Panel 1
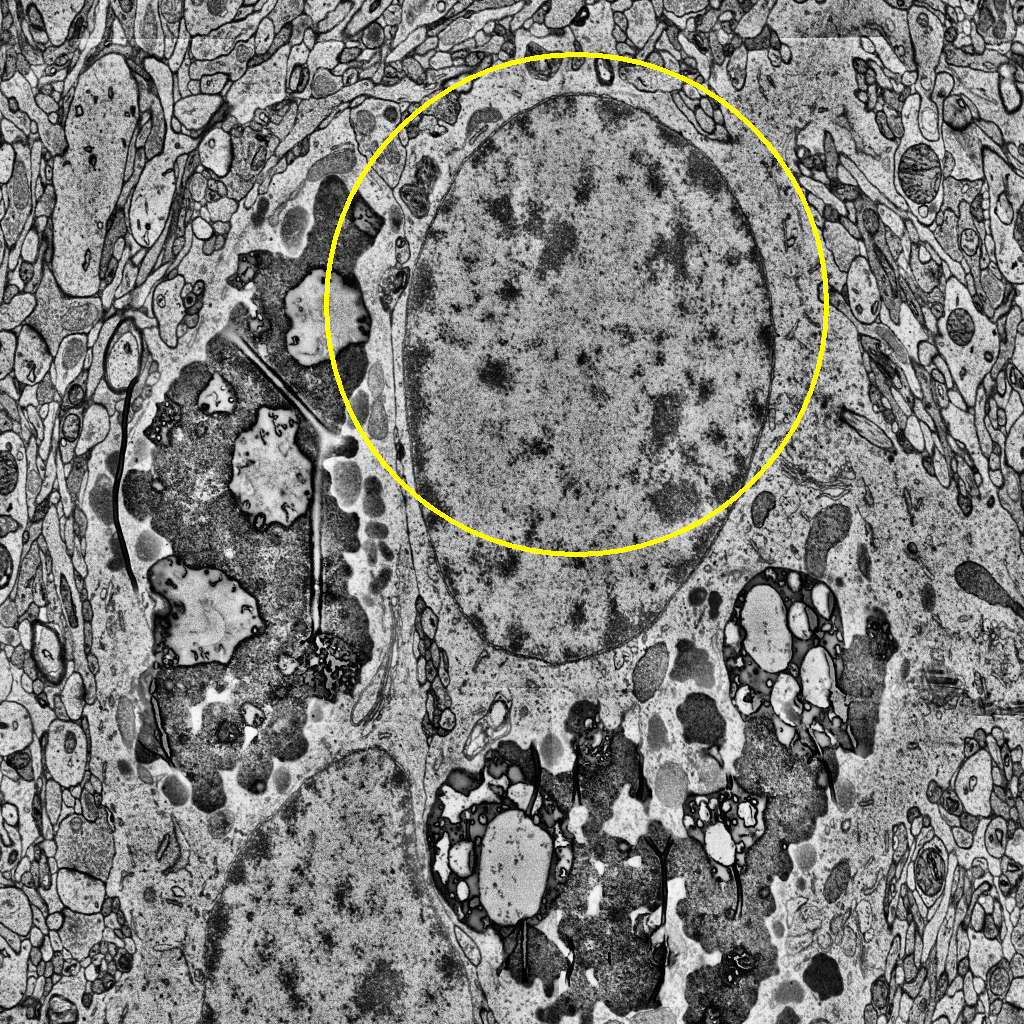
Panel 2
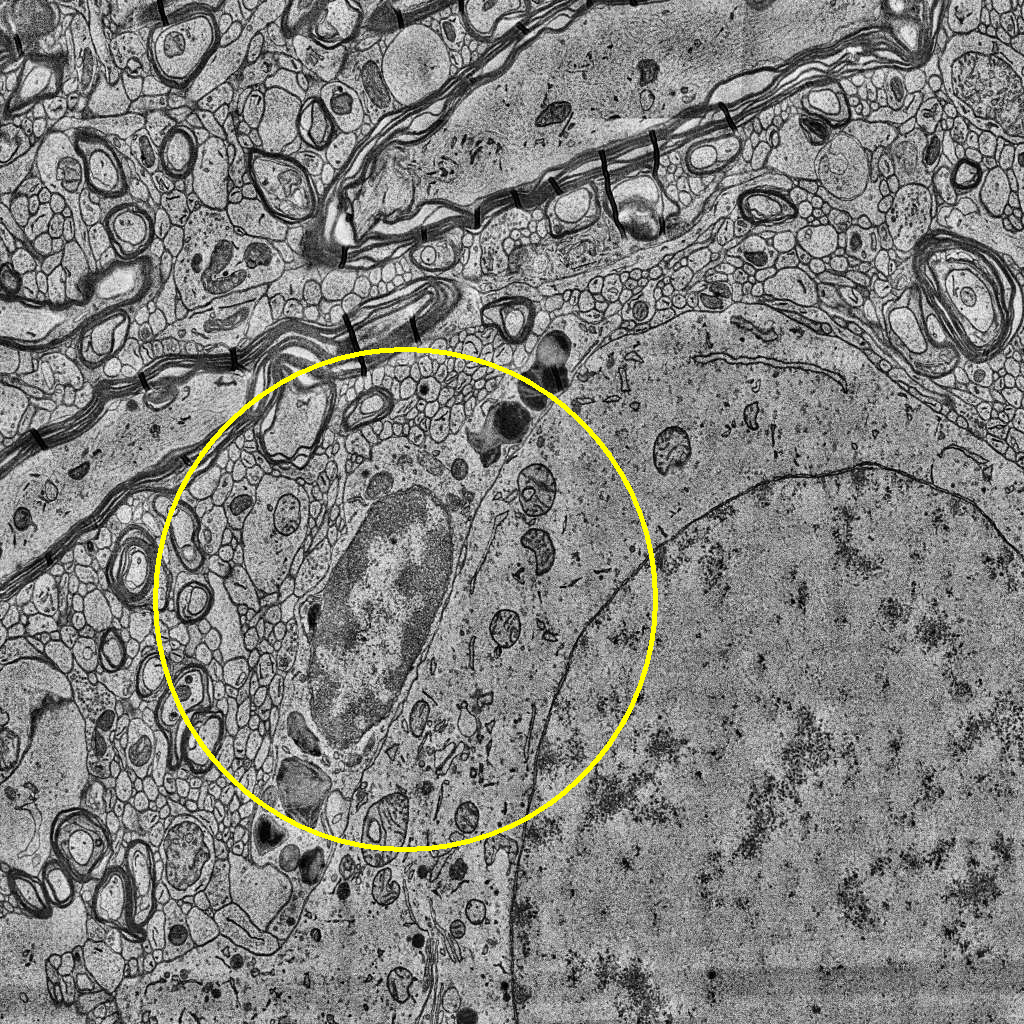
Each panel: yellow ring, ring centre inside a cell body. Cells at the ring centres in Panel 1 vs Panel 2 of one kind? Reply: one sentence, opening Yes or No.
No, Panel 1 and Panel 2 have cells of two kinds at the ring centres.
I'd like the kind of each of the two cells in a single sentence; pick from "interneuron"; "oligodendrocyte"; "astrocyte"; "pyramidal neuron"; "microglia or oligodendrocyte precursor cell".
The first ring marks an astrocyte, and the second ring marks a microglial cell or oligodendrocyte precursor cell.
